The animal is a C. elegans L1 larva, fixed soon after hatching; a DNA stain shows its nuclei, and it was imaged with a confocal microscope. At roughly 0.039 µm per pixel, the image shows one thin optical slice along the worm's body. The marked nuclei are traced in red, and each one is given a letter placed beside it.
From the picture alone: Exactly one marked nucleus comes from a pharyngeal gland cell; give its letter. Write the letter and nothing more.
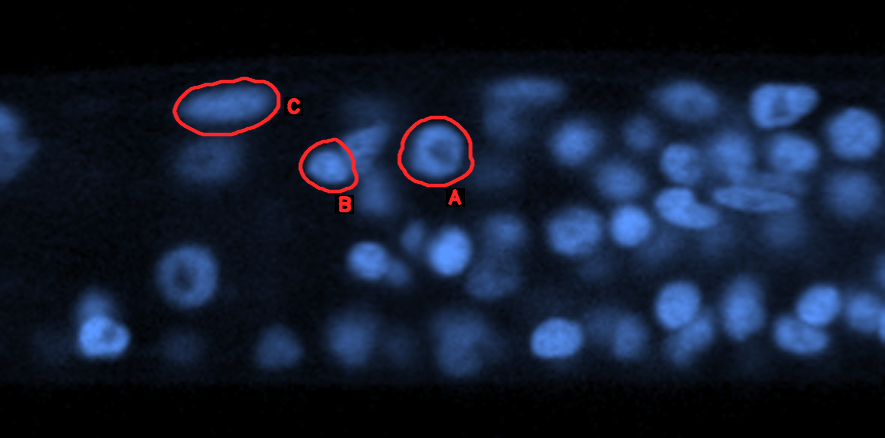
A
